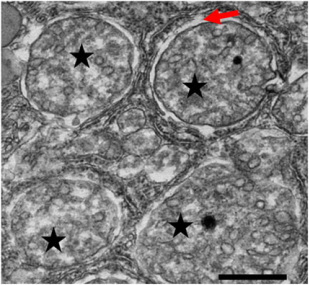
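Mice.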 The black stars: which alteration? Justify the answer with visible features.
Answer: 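Degraded mitochondria. Large round organelles filling much of the field. Interior pale and vesiculated, without orderly cristae.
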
